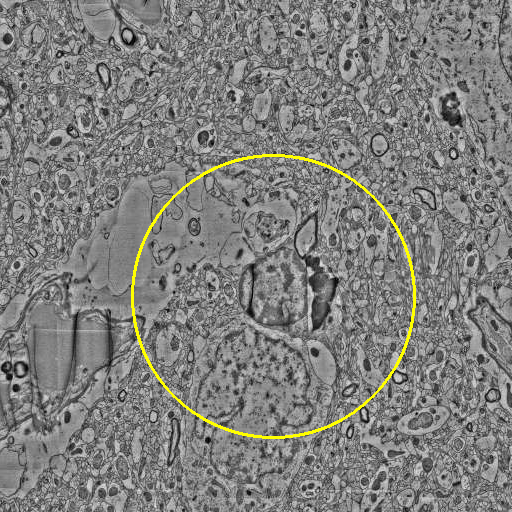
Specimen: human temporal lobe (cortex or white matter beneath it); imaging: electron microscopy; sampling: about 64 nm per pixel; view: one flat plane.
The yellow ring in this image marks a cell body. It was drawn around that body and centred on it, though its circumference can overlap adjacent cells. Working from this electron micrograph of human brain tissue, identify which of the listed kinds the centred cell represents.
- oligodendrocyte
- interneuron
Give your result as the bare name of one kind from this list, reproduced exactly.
oligodendrocyte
